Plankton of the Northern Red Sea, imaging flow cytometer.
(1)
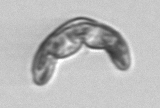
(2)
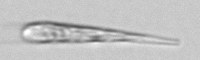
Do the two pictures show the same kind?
No: Karenia papilionacea, then Licmophora.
